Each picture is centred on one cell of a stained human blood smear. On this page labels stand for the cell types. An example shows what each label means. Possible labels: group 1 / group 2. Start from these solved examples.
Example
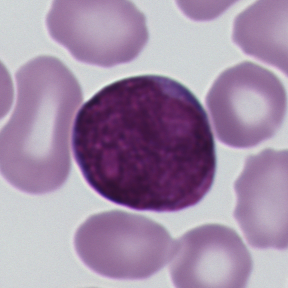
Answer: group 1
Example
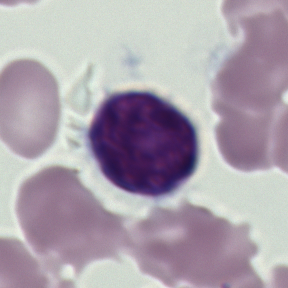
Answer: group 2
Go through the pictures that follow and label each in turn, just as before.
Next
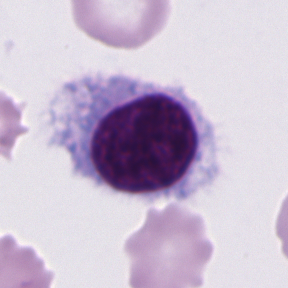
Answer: group 2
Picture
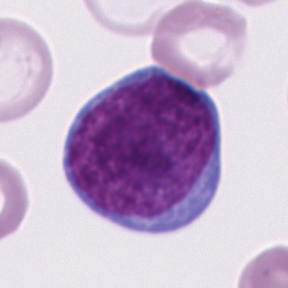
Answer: group 1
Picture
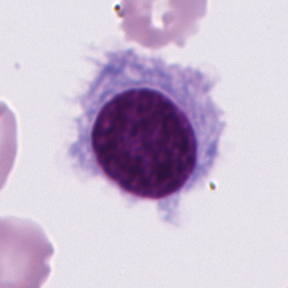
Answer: group 2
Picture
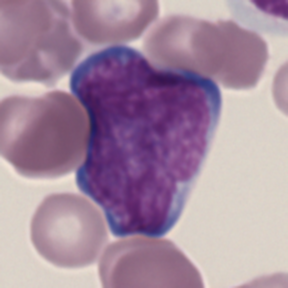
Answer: group 1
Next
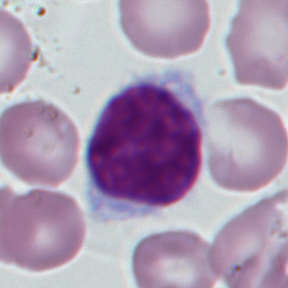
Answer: group 2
